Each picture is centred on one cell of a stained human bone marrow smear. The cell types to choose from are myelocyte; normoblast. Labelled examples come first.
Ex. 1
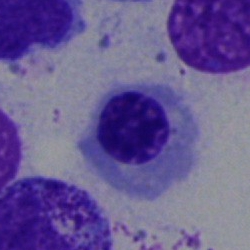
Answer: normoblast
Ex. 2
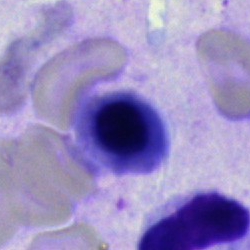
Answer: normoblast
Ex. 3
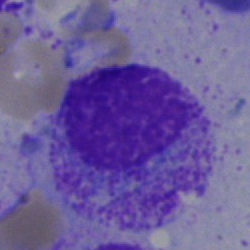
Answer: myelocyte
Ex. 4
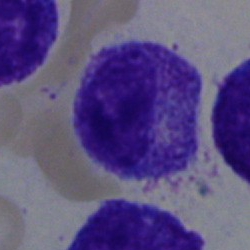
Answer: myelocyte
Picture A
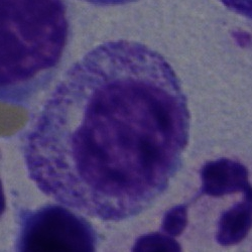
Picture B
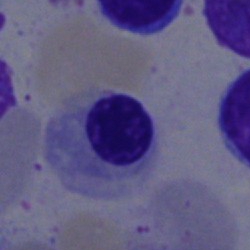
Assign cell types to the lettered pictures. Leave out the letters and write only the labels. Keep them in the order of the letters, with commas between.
myelocyte, normoblast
